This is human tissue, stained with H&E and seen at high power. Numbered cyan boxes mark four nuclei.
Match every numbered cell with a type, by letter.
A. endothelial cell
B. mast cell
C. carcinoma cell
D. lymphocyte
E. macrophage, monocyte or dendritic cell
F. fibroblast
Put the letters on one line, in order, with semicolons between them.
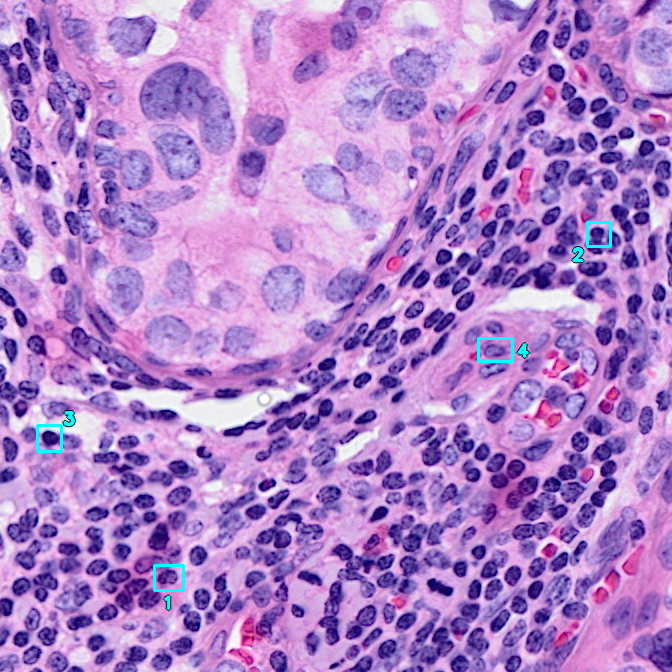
D; D; D; A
